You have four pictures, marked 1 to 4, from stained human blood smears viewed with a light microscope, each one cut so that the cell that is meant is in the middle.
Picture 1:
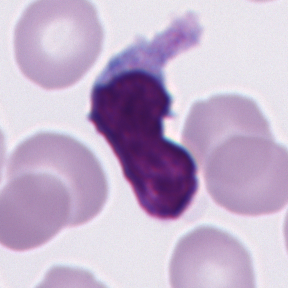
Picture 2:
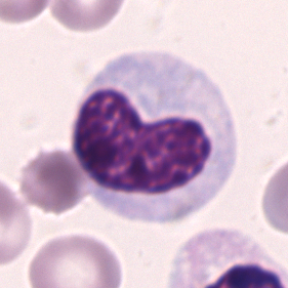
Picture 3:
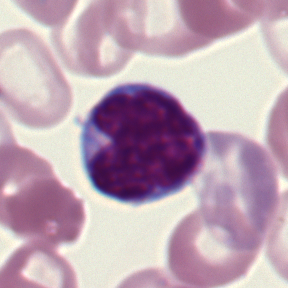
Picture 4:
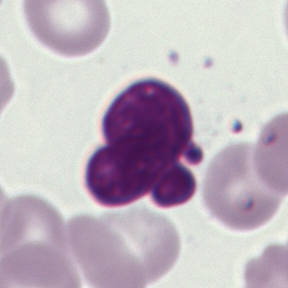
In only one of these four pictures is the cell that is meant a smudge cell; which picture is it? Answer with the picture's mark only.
4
